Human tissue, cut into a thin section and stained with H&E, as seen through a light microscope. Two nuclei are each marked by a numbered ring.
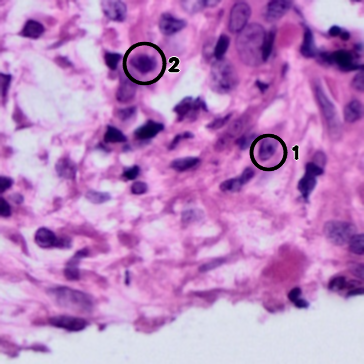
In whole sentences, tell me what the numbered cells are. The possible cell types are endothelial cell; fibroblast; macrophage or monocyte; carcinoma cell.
Cell 1 is a macrophage or monocyte and cell 2 is a carcinoma cell.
